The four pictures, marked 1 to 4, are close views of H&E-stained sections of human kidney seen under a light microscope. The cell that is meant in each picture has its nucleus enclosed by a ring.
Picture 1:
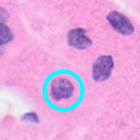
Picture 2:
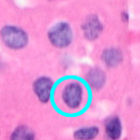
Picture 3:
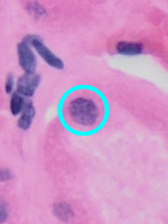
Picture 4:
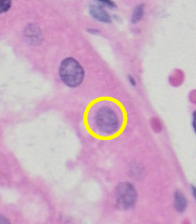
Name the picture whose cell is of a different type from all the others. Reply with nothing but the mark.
2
